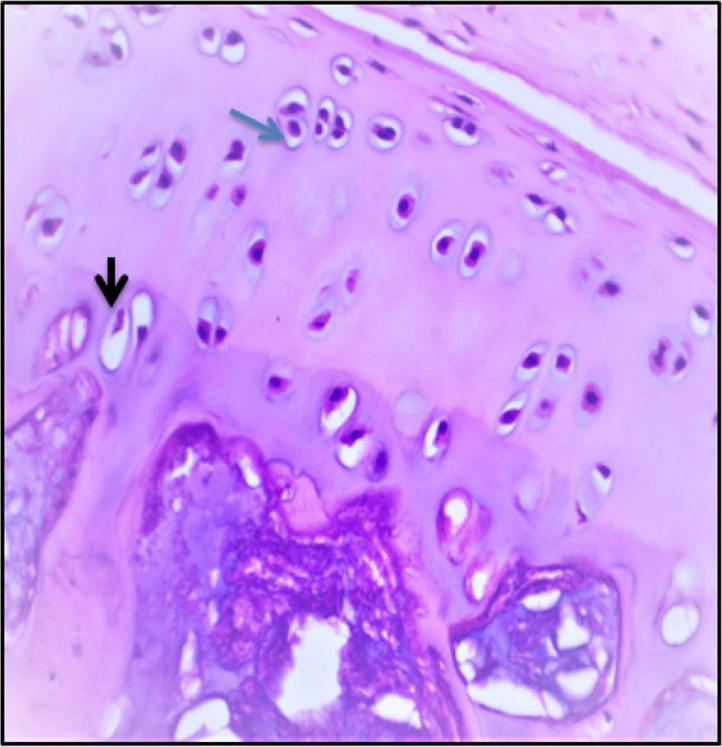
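Articular cartilage shows chondrocytes scattered singly and in small groups of two or three through a smooth, homogeneous pink matrix. Each cell lies in a clear oval lacuna and has a dark purple nucleus. Toward the bottom, the cells sit in larger, swollen lacunae beside purple-staining marrow spaces of the underlying bone, and a deeper-staining band of matrix separates this region from the paler cartilage above.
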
